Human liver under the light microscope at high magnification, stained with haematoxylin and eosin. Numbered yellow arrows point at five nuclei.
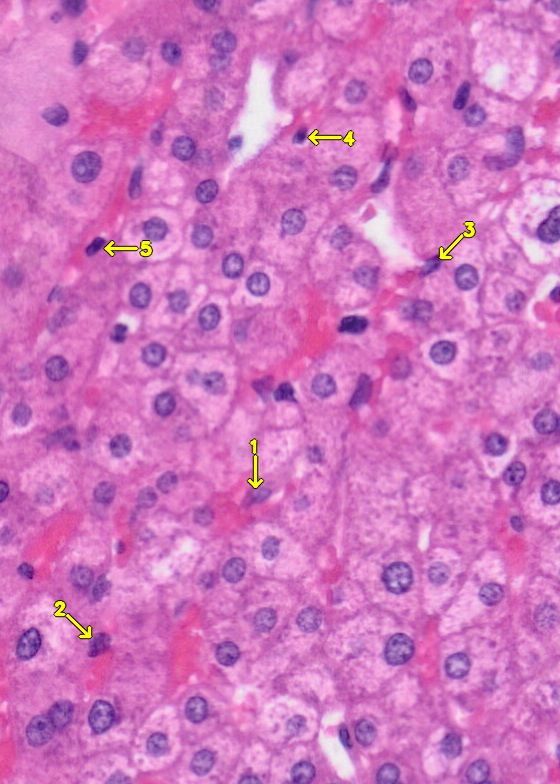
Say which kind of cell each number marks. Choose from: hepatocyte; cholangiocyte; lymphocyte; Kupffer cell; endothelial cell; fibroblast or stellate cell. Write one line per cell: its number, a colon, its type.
1: Kupffer cell
2: endothelial cell
3: fibroblast or stellate cell
4: lymphocyte
5: lymphocyte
